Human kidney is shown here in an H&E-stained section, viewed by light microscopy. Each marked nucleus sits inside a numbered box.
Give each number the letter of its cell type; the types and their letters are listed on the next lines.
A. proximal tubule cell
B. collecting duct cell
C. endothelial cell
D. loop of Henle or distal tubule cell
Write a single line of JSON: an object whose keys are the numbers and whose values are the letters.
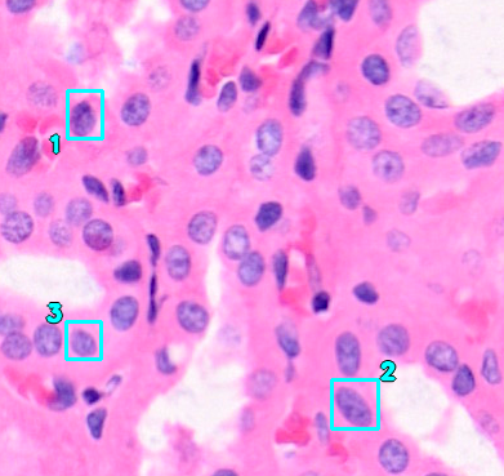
{"1": "D", "2": "B", "3": "B"}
